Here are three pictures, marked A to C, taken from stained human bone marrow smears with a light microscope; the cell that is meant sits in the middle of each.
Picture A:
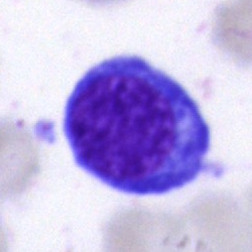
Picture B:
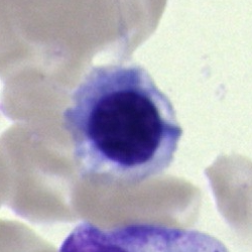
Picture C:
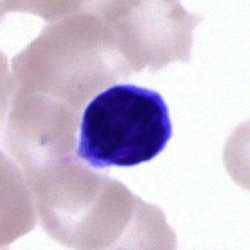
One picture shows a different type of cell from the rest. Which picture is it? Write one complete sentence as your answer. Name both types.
Unlike the rest, which show erythroblasts, picture C shows a lymphocyte.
